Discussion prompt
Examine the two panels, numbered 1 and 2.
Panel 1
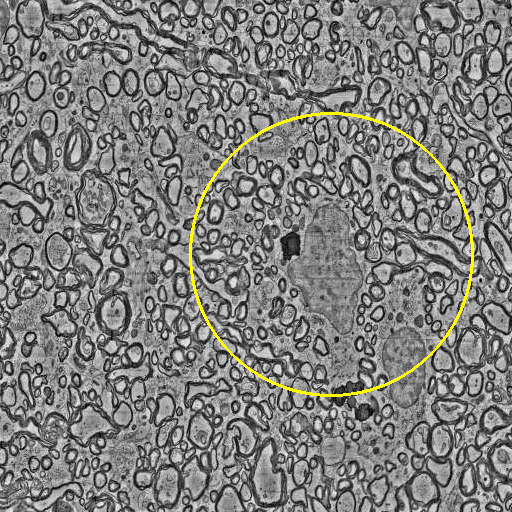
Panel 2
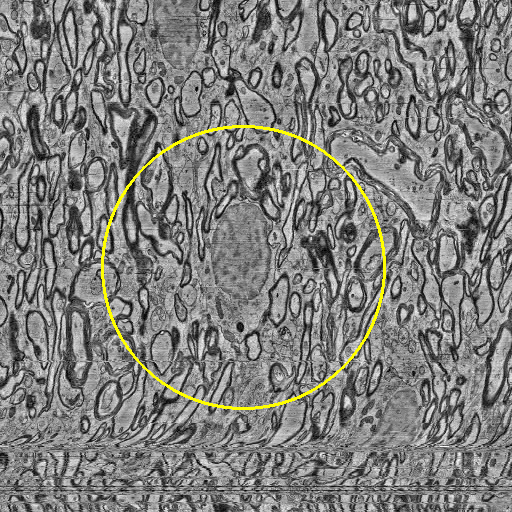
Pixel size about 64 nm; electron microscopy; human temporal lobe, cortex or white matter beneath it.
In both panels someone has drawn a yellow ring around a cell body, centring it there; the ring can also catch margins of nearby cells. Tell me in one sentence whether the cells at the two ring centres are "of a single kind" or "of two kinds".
Taken together, the two cells centred in the rings of Panels 1 and 2 are of a single kind.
